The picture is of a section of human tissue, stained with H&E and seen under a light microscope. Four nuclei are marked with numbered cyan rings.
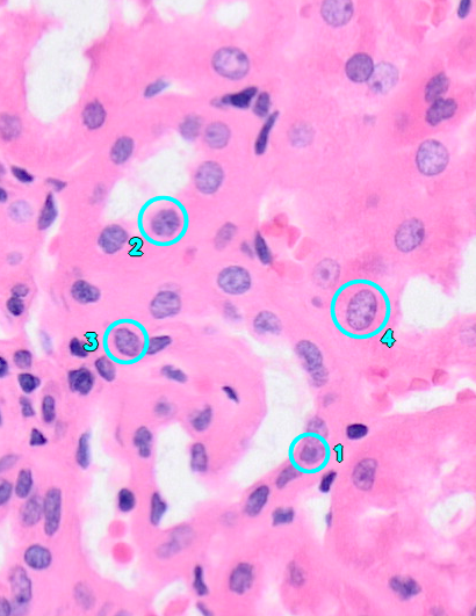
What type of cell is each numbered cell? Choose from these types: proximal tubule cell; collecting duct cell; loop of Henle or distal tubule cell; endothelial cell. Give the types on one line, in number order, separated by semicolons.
collecting duct cell; loop of Henle or distal tubule cell; collecting duct cell; proximal tubule cell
